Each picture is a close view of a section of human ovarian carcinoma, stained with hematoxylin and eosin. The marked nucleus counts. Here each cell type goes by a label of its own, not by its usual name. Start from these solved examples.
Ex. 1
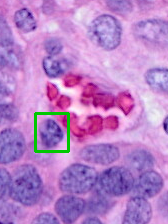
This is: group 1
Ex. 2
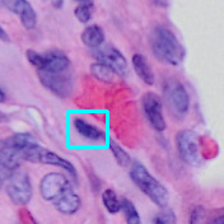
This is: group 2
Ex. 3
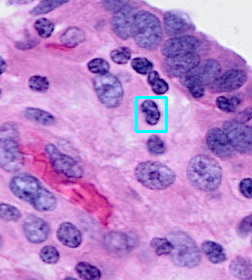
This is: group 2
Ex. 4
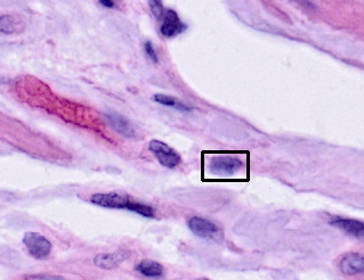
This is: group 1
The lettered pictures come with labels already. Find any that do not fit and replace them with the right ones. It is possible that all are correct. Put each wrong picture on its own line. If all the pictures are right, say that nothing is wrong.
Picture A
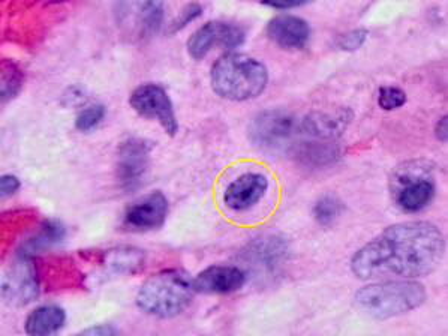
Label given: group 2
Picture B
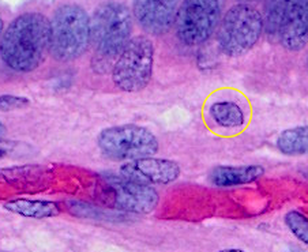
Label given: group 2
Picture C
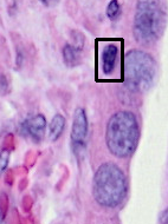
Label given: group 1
B: group 1, not group 2
C: group 2, not group 1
